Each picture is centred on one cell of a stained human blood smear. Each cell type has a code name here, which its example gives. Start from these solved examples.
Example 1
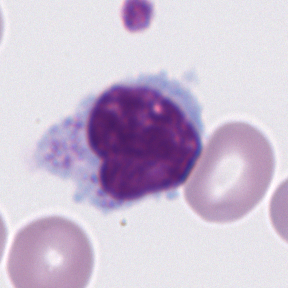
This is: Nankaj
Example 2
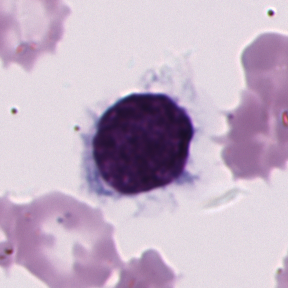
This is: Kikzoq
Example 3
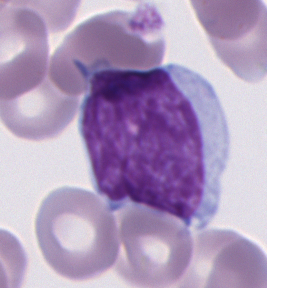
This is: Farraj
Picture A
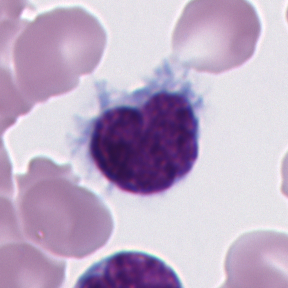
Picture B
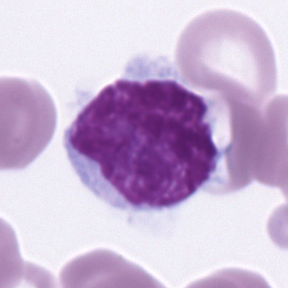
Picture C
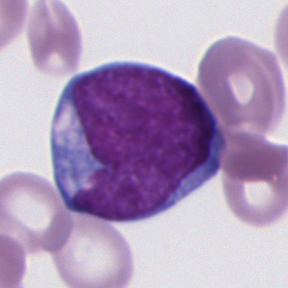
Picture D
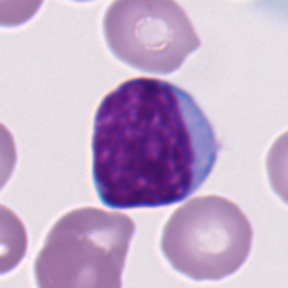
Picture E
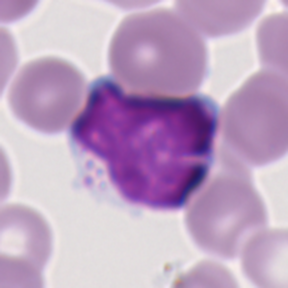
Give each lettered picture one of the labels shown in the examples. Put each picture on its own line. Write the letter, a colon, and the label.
A: Kikzoq
B: Kikzoq
C: Farraj
D: Farraj
E: Nankaj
